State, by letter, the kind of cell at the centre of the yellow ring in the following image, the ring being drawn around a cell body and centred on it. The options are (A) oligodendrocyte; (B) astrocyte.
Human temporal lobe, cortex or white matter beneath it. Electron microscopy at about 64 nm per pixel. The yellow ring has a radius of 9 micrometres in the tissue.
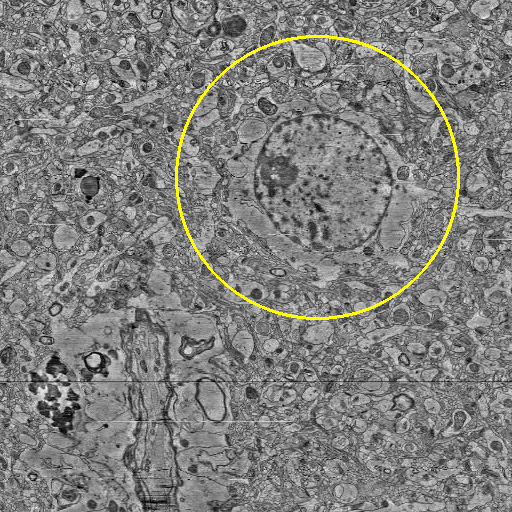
B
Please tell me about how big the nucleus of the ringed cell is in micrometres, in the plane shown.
Roughly 9 micrometers across in this plane.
